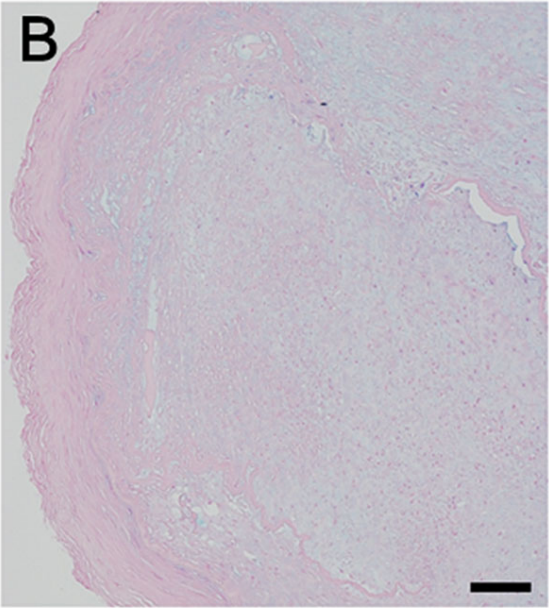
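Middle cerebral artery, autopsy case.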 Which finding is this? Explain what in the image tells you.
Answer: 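Thickened intima. A broad inner layer fills most of the panel. The inner layer has a faint diffuse pale blue tint. A thin pink outer layer borders it.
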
